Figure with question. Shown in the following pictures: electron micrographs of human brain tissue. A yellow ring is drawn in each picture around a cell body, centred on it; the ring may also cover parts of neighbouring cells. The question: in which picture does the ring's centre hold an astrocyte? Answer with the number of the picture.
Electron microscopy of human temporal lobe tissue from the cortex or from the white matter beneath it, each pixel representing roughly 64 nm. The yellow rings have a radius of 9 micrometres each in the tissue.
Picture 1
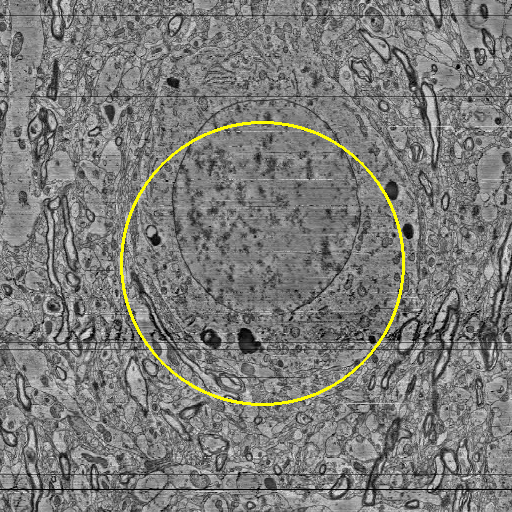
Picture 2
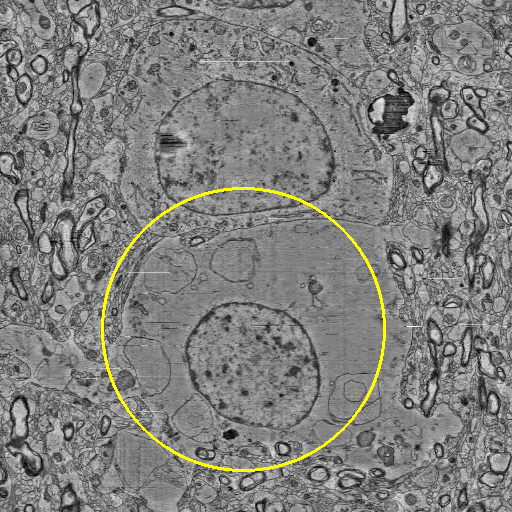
2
